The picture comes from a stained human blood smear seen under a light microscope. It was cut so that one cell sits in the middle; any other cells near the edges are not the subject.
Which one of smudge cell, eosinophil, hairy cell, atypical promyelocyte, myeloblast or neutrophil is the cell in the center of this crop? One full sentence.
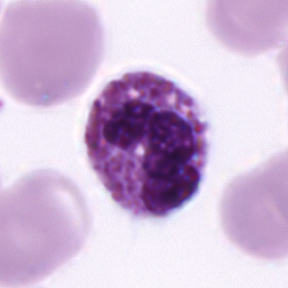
The cell at the centre of the field is an eosinophil.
